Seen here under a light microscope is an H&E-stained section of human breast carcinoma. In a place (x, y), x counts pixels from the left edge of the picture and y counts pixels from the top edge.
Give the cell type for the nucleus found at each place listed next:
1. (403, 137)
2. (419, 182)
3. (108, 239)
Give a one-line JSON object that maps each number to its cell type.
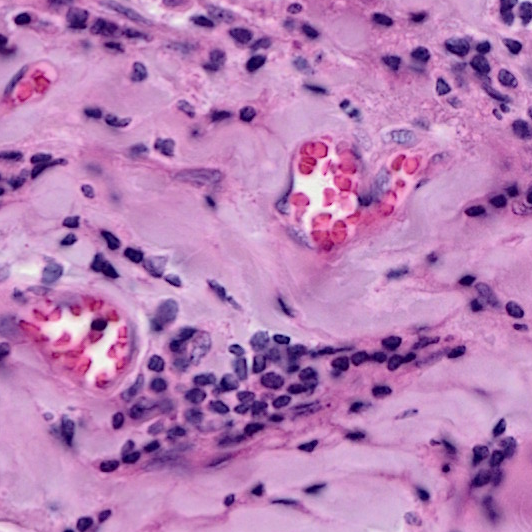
{"1": "endothelial cell", "2": "endothelial cell", "3": "lymphocyte"}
